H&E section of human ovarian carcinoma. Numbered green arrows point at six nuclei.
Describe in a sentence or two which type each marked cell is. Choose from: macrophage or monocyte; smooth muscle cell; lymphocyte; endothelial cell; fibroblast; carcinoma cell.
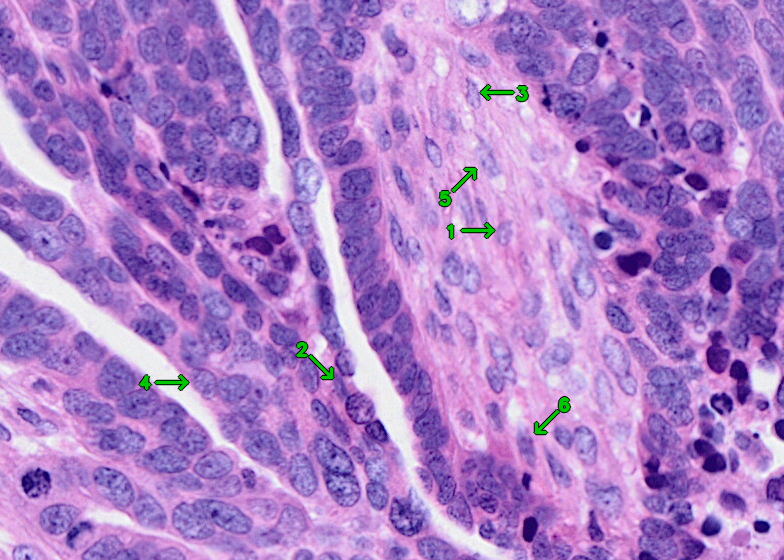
Cell 1 is a fibroblast, cell 2 is a carcinoma cell, cell 3 is a fibroblast, cell 4 is a carcinoma cell, cell 5 is a fibroblast and cell 6 is a fibroblast.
